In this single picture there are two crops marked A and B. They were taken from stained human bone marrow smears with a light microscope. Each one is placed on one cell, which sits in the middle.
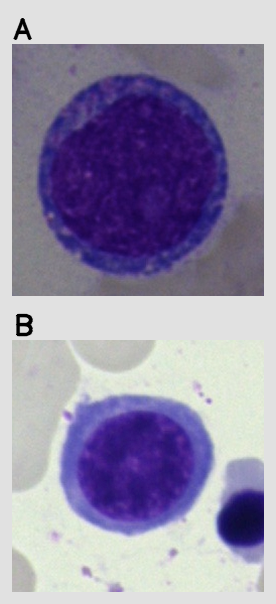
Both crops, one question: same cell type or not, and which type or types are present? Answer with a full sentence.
No, a blast and an erythroblast are found in crop A and crop B, respectively.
